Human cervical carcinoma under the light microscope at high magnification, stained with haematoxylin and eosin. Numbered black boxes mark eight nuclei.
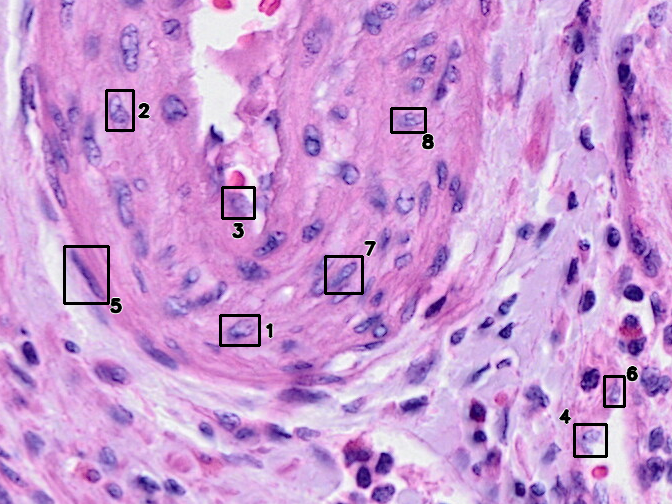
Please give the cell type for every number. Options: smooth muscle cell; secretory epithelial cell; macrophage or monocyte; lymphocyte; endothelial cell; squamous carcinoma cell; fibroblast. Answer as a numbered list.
1. smooth muscle cell
2. smooth muscle cell
3. endothelial cell
4. endothelial cell
5. smooth muscle cell
6. endothelial cell
7. smooth muscle cell
8. smooth muscle cell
